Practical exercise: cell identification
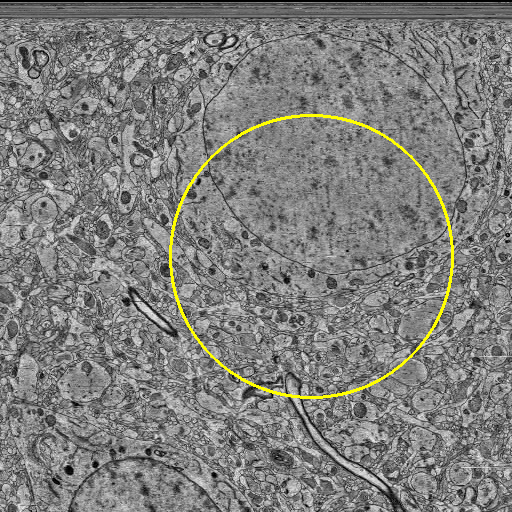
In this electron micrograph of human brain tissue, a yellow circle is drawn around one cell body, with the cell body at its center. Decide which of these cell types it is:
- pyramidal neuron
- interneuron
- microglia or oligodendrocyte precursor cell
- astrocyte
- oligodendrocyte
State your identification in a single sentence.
The ringed cell is a pyramidal neuron.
